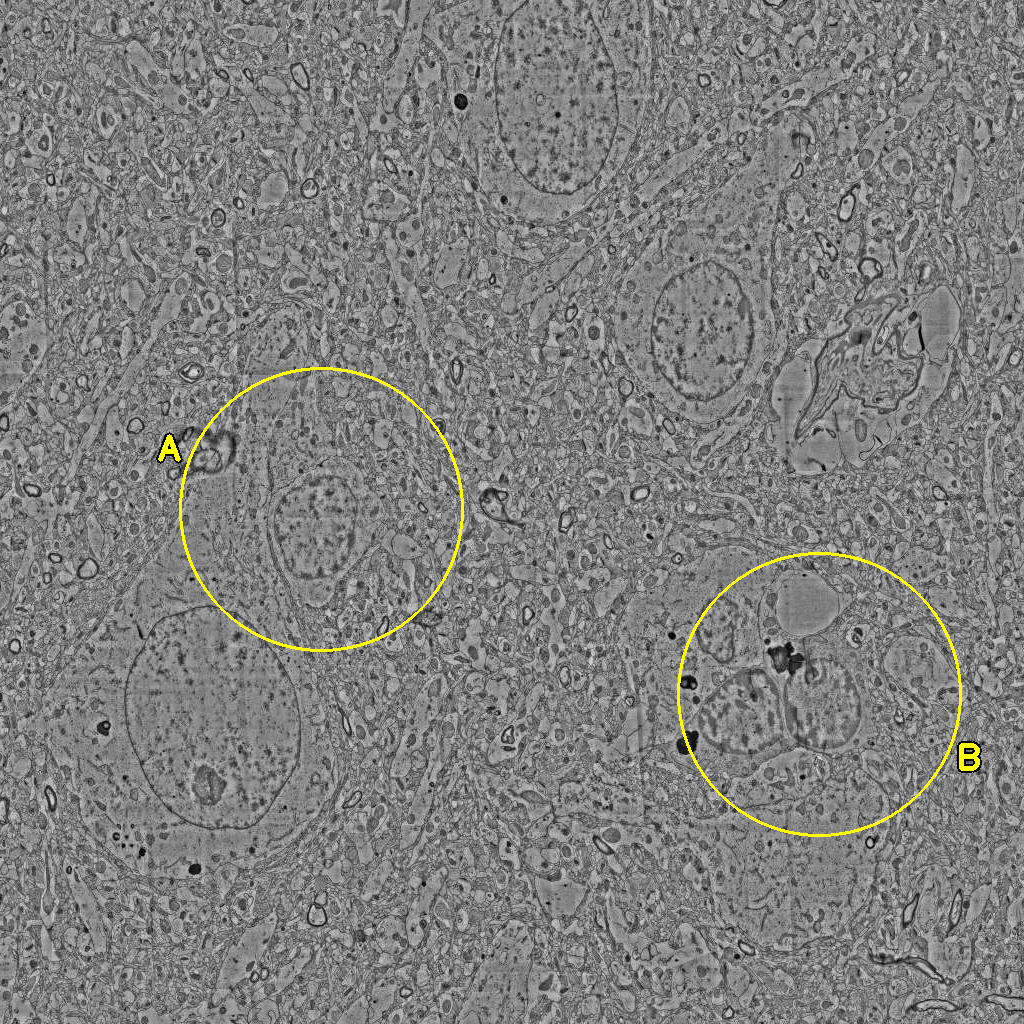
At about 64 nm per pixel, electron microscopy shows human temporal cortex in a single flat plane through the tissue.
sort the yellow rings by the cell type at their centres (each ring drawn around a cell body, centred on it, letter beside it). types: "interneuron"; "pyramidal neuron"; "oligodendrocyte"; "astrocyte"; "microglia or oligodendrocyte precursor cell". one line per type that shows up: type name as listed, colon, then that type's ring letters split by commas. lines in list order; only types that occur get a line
interneuron: A
oligodendrocyte: B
